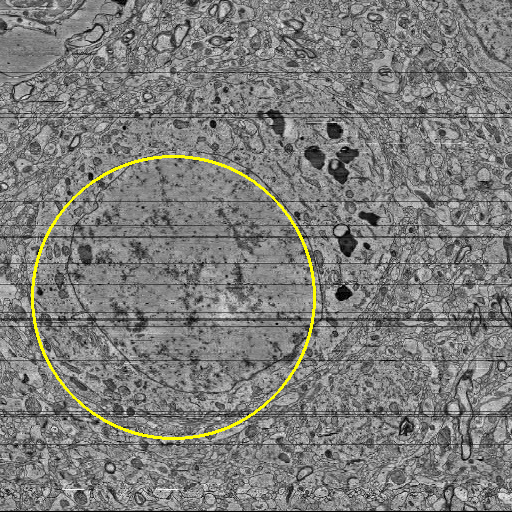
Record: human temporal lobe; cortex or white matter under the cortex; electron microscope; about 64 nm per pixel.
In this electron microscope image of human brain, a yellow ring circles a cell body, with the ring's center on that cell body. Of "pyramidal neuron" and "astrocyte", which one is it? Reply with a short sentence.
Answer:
It is a pyramidal neuron at the center of the ring.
